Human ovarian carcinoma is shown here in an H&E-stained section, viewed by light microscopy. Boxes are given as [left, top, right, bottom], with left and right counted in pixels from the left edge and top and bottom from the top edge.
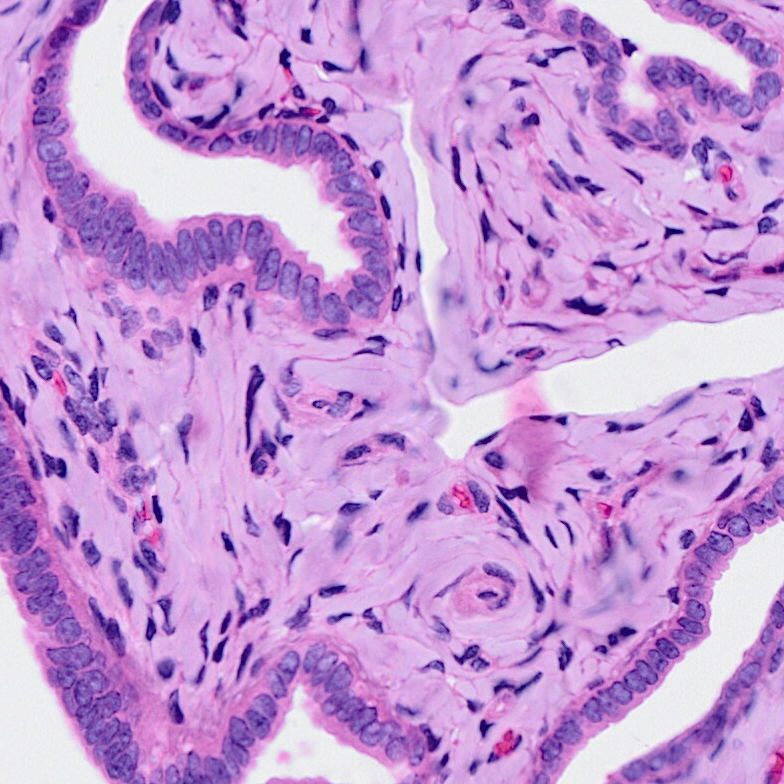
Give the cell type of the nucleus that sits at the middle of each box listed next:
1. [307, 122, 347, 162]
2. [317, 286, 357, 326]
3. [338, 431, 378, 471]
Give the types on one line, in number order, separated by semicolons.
carcinoma cell; carcinoma cell; endothelial cell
